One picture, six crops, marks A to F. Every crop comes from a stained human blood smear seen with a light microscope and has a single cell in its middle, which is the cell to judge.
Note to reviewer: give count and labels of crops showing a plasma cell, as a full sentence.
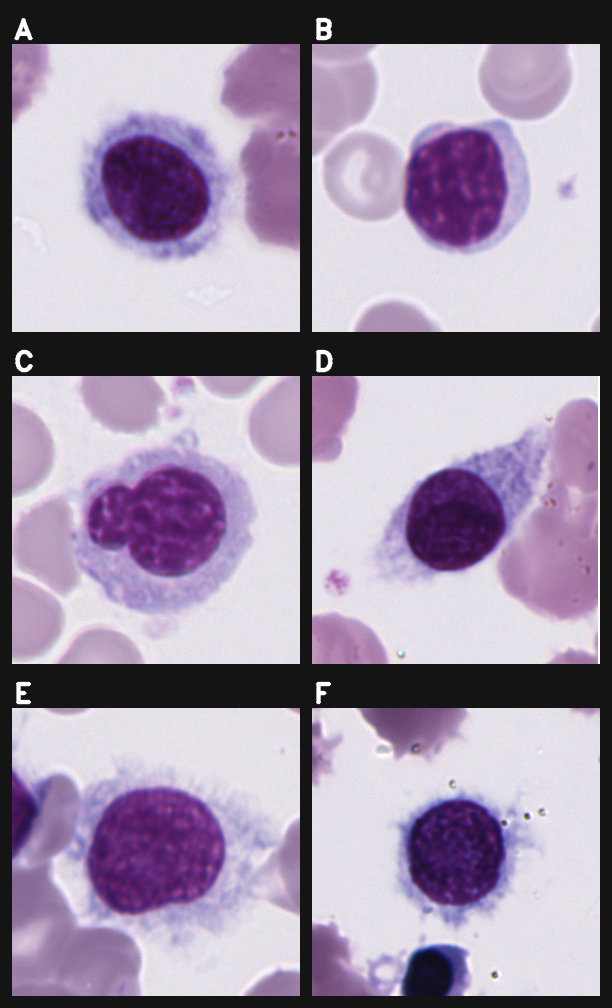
Exactly one crop, the one labelled C, contains a plasma cell as its central cell.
